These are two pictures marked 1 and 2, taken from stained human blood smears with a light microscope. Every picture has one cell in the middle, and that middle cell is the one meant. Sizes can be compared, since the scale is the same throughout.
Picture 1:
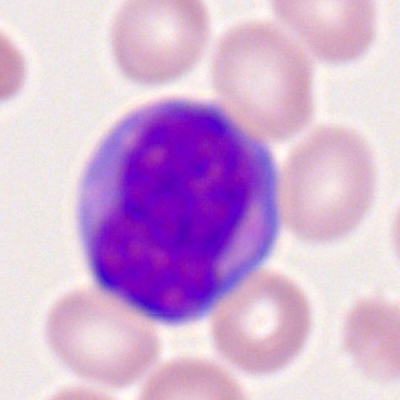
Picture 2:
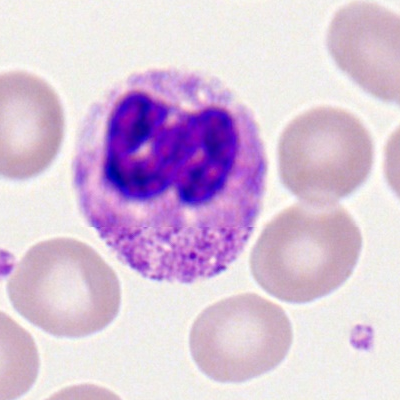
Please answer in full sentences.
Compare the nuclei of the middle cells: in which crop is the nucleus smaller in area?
The nucleus in picture 2 is smaller; the one in picture 1 has about 2 times its area.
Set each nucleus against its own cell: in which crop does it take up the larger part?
In picture 1 the nucleus takes up the larger part of its cell.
